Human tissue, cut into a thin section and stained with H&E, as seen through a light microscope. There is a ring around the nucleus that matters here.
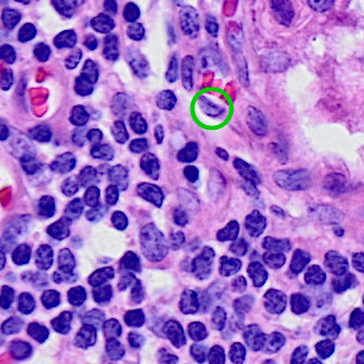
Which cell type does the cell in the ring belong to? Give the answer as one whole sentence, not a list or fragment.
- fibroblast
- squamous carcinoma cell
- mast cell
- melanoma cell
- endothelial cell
As far as its identity is concerned, the cell in the ring is an endothelial cell.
